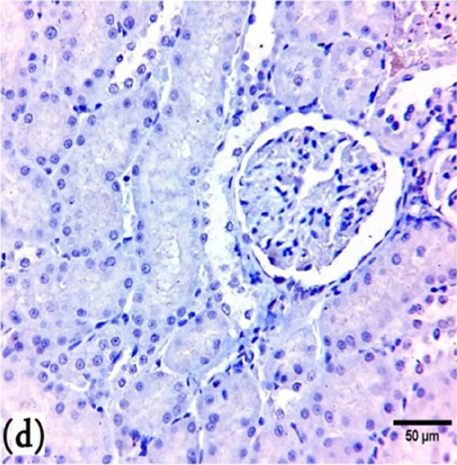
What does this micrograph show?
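This is kidney cortex with a glomerulus surrounded by renal tubules. The glomerulus sits right of centre as a rounded tuft of cells with dark blue nuclei, separated from its capsule by a clear space. The tubules around it are lined by cuboidal cells with pale cytoplasm and round blue nuclei. No brown staining is seen in the glomerulus or tubules, and the tissue looks blue and orderly throughout.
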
